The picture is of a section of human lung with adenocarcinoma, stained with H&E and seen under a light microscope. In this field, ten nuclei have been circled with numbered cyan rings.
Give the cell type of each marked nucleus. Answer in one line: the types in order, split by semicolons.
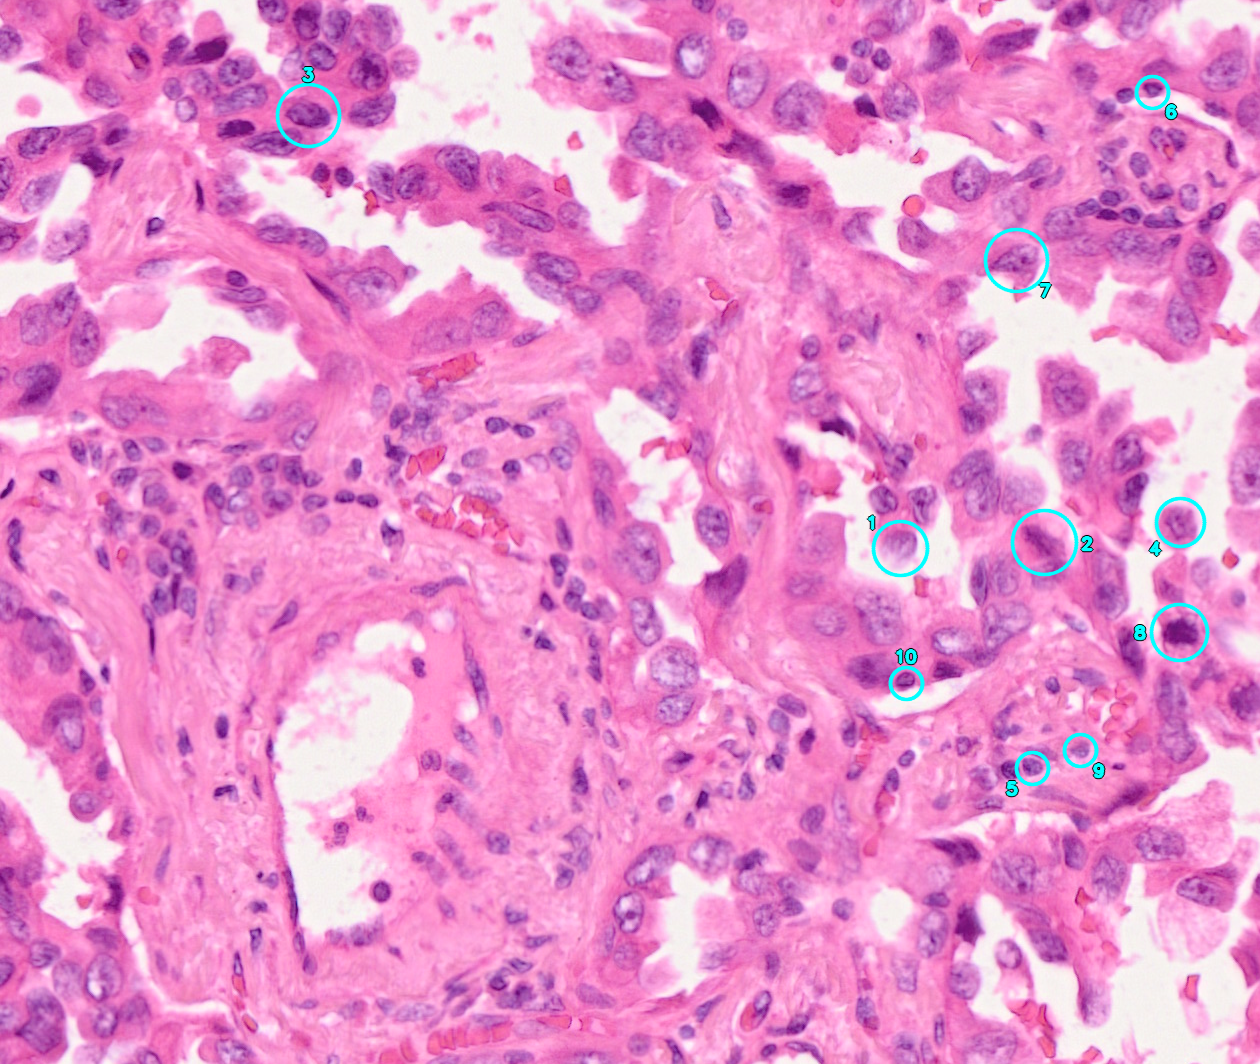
carcinoma cell; carcinoma cell; carcinoma cell; carcinoma cell; lymphocyte; lymphocyte; carcinoma cell; carcinoma cell; lymphocyte; lymphocyte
